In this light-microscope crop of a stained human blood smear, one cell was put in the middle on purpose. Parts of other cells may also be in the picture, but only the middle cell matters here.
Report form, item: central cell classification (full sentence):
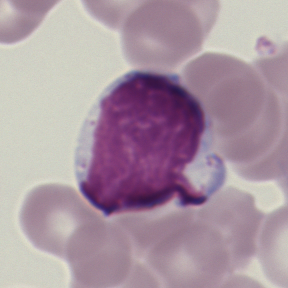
Within this crop, a large granular lymphocyte occupies the central position.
